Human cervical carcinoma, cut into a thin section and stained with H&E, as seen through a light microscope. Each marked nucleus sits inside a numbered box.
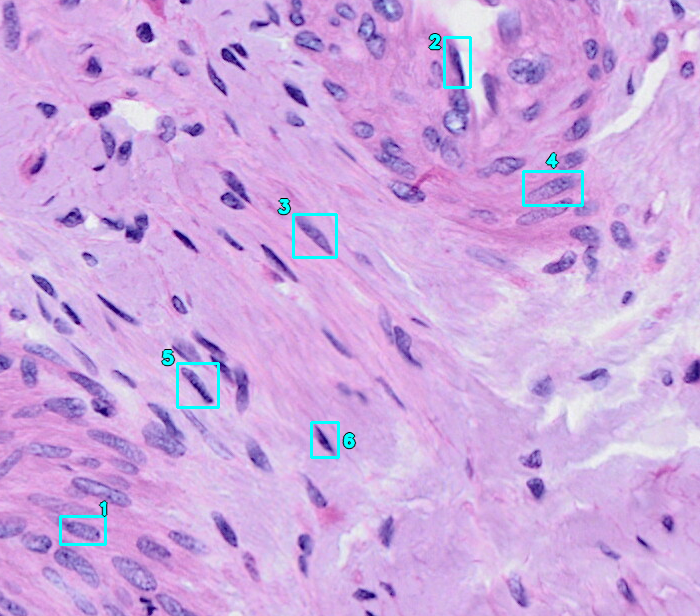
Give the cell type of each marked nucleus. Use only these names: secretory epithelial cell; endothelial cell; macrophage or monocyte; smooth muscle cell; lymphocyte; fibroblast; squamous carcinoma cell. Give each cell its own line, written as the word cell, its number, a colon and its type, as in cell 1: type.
cell 1: smooth muscle cell
cell 2: endothelial cell
cell 3: fibroblast
cell 4: smooth muscle cell
cell 5: fibroblast
cell 6: fibroblast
